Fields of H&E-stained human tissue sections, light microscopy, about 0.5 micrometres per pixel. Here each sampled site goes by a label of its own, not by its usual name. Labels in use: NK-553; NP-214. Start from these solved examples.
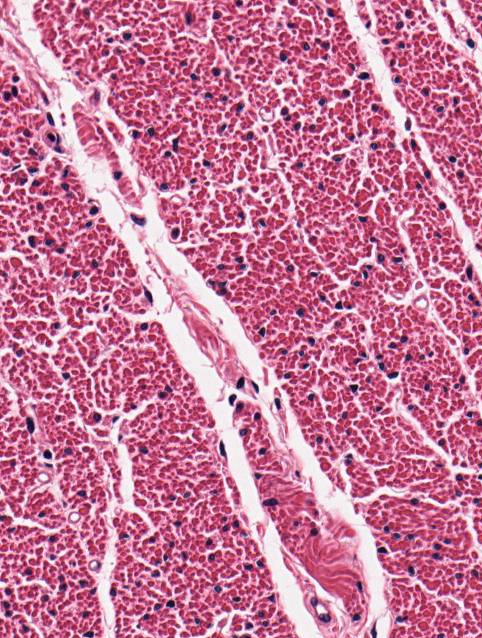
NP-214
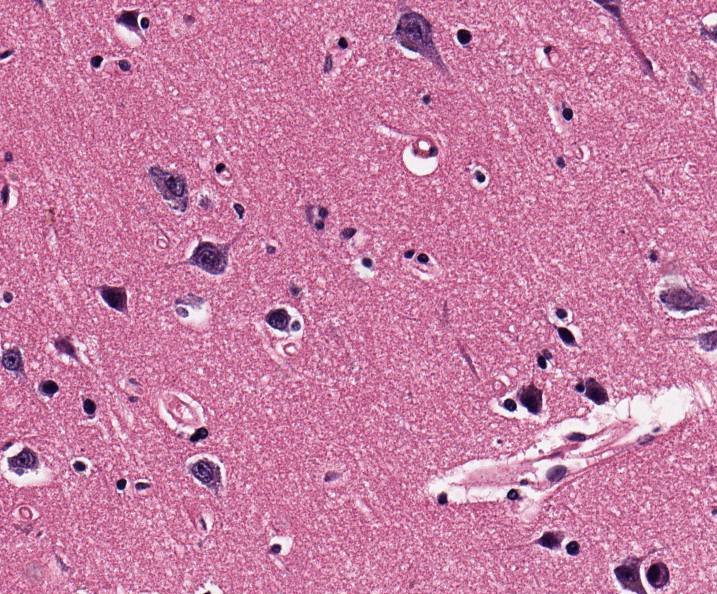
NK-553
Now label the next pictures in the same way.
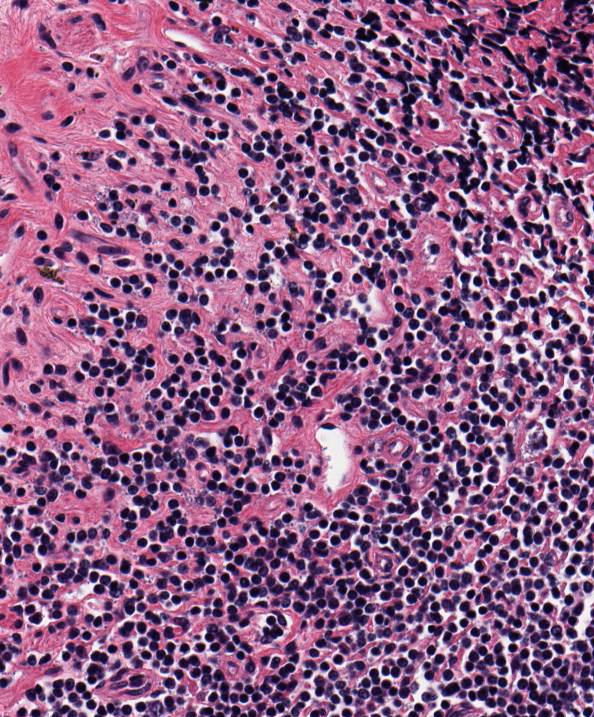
NP-214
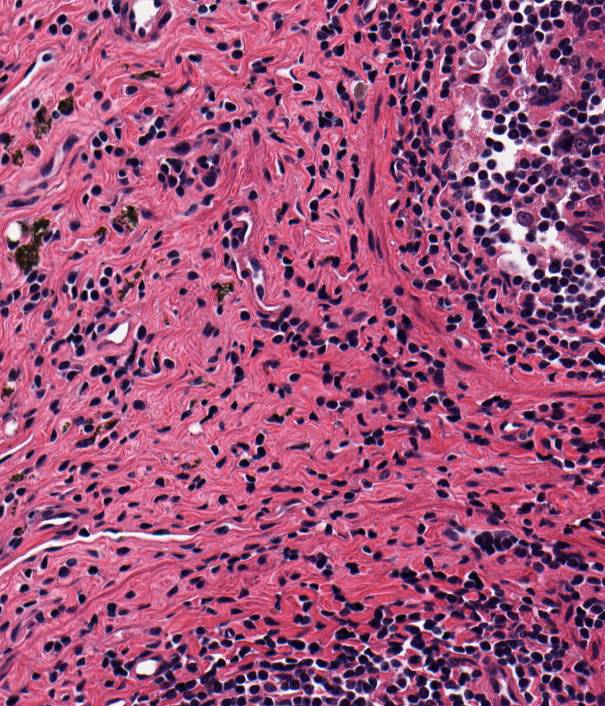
NP-214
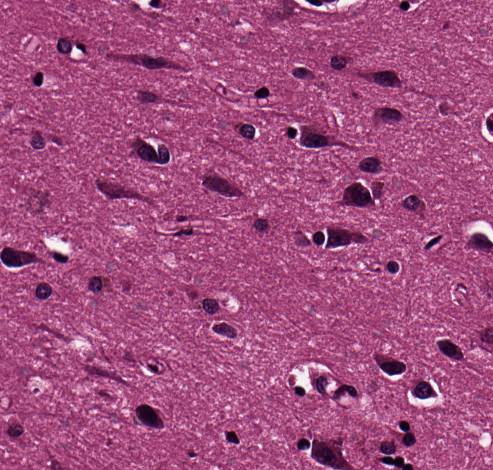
NK-553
